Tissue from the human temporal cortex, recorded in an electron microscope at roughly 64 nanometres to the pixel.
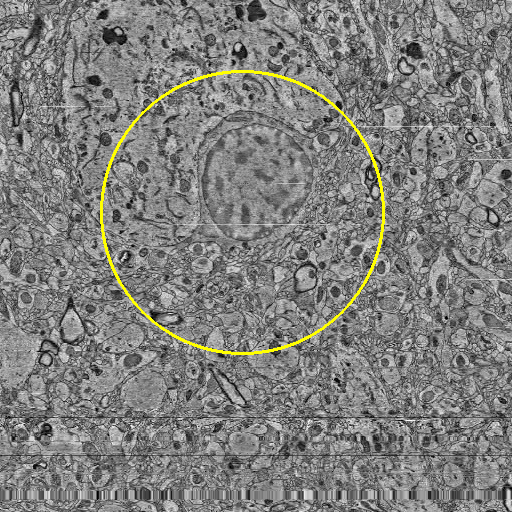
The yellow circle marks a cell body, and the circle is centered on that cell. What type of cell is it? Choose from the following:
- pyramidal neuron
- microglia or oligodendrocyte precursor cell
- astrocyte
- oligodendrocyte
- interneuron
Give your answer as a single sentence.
This cell body belongs to an oligodendrocyte.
